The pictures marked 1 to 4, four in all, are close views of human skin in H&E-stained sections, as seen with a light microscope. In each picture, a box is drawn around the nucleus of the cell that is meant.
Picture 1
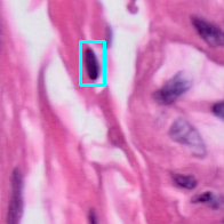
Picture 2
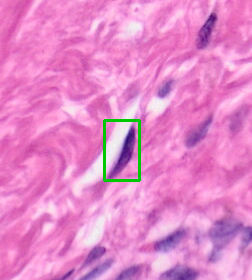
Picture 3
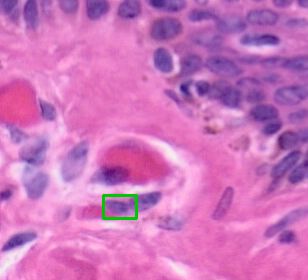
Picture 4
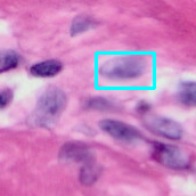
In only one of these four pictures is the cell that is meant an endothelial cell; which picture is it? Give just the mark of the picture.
3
